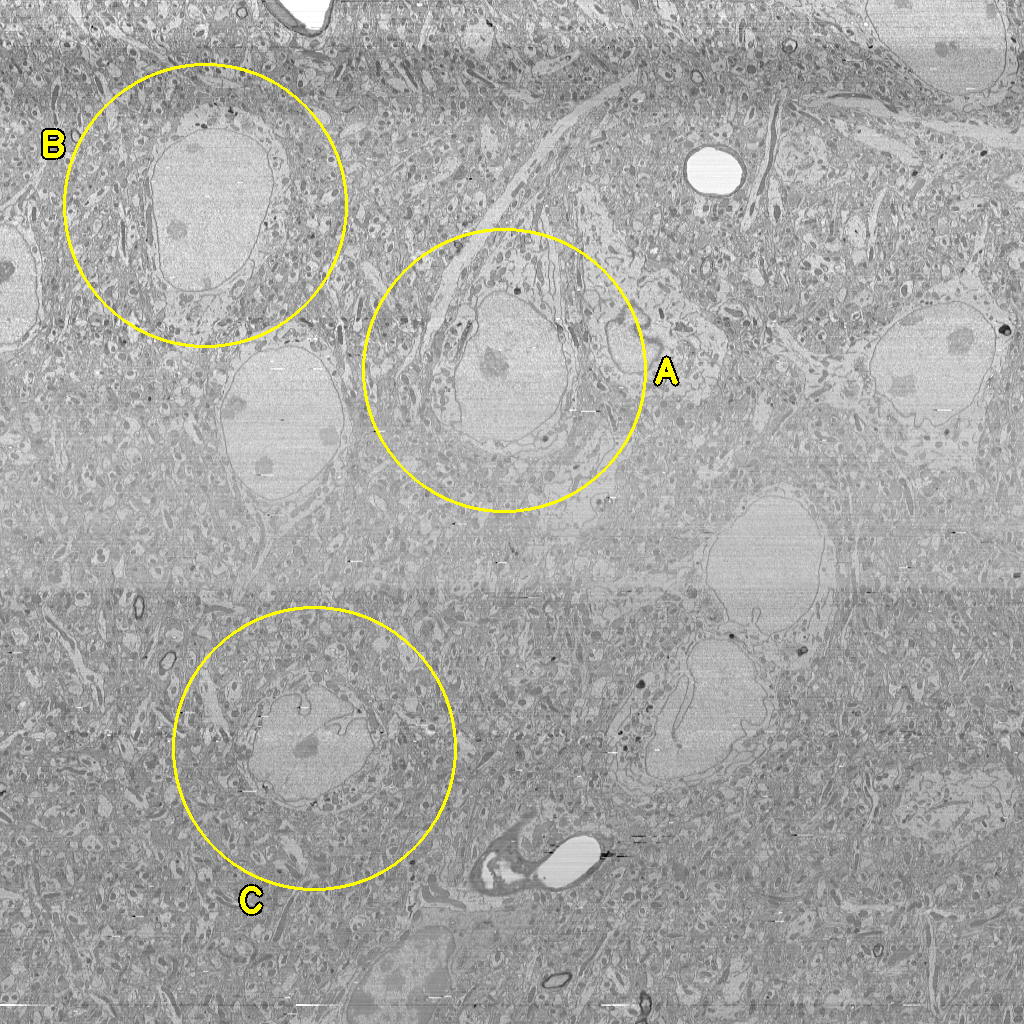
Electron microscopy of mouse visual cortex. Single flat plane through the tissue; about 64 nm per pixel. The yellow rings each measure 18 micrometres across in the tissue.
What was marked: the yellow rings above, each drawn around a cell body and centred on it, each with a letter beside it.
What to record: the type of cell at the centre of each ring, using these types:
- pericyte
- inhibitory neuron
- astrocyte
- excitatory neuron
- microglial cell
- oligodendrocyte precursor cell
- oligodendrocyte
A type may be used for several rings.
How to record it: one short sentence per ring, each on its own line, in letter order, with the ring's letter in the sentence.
Centred in ring A is an inhibitory neuron.
Centred in ring B is an excitatory neuron.
Centred in ring C is an inhibitory neuron.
